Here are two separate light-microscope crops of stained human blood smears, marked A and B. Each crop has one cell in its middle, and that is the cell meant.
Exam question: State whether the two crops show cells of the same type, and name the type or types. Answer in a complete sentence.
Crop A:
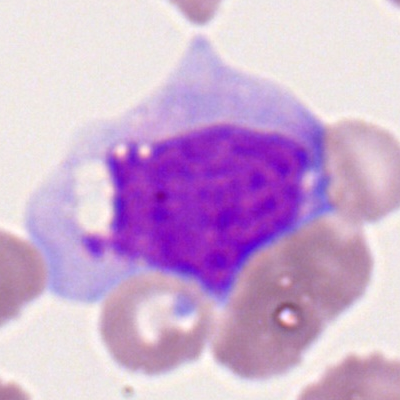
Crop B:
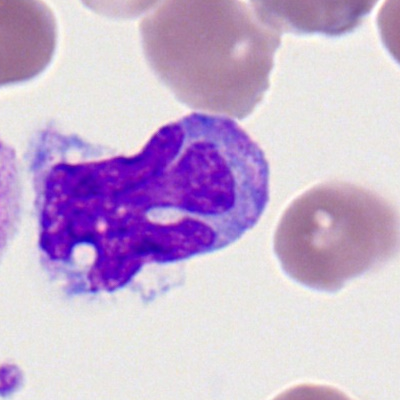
Yes, it is monocytes that occupy the middle of both crops.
